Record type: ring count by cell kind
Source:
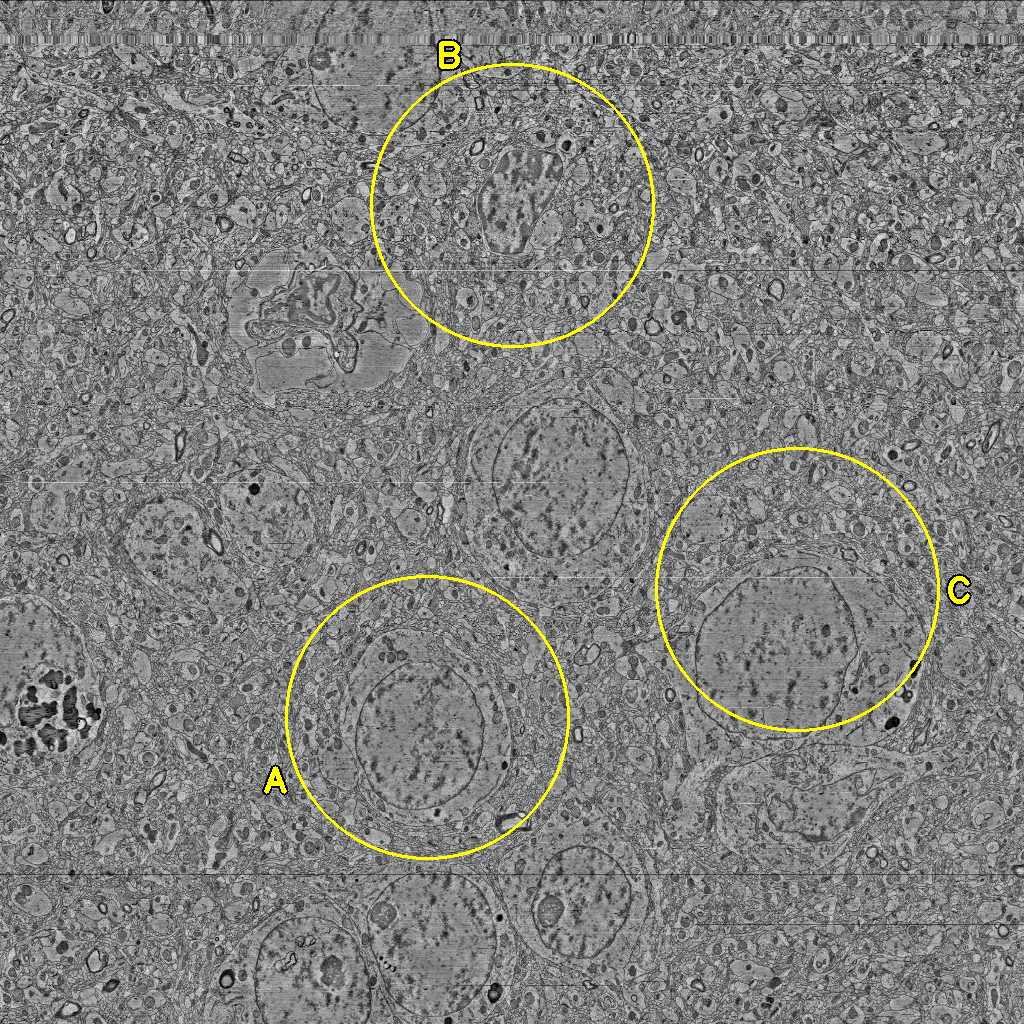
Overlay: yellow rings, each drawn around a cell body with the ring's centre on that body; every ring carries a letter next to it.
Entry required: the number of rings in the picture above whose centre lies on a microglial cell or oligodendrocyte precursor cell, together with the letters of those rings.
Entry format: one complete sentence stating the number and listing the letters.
There is one ring, and one only, centred on a microglial cell or oligodendrocyte precursor cell, and it is lettered B.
